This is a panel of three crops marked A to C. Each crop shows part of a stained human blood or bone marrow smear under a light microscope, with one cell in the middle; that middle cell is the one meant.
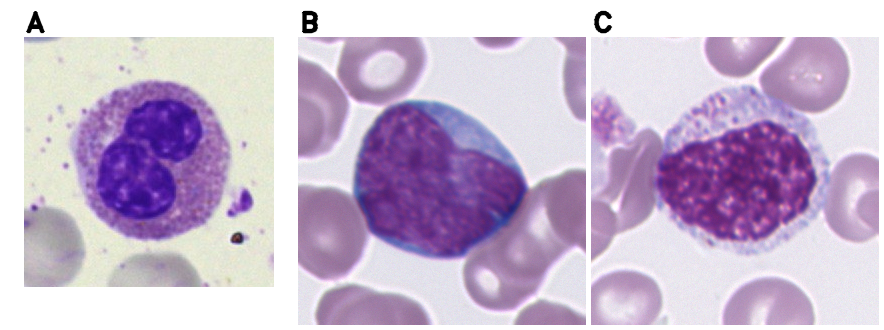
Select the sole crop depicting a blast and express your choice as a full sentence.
In this set, crop B is the one showing a blast.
